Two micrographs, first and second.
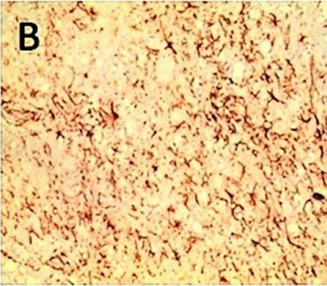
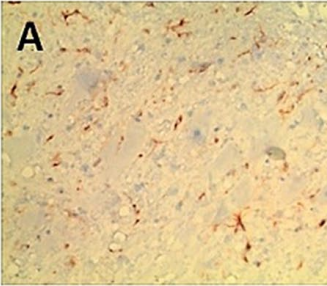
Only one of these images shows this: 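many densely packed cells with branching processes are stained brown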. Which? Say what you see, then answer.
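First image: brown-stained cells with fine branching processes crowd the whole field. Second image: only scattered small brown-stained cells lie on a pale background. On this evidence: the first image.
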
